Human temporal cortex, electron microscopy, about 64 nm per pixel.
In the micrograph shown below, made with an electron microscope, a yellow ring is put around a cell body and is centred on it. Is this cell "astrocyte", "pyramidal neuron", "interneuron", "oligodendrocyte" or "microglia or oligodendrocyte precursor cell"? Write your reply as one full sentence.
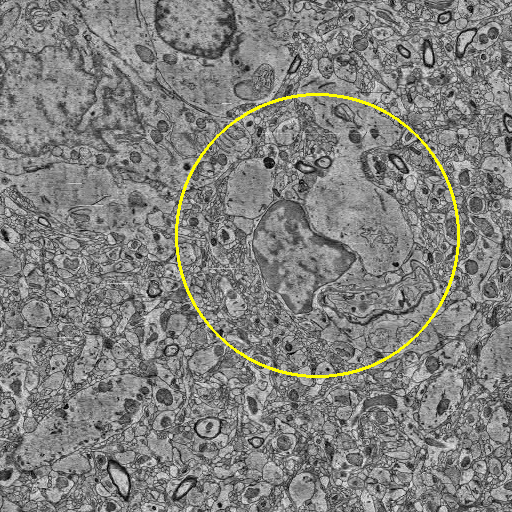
In the micrograph, a microglial cell or oligodendrocyte precursor cell is the cell at the centre of the yellow ring.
